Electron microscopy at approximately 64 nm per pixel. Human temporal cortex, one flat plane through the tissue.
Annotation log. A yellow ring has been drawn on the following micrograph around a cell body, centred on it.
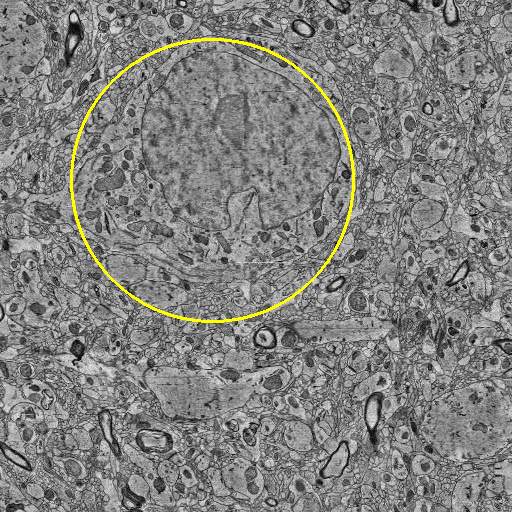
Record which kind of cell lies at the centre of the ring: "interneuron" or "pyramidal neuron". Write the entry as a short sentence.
The cell the ring is centred on is an interneuron.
